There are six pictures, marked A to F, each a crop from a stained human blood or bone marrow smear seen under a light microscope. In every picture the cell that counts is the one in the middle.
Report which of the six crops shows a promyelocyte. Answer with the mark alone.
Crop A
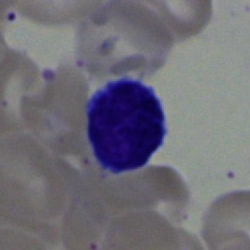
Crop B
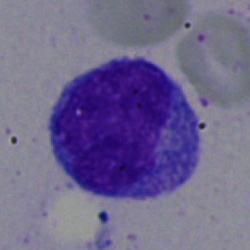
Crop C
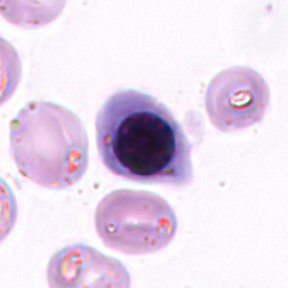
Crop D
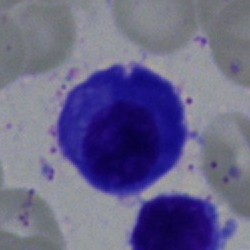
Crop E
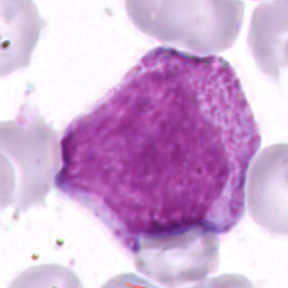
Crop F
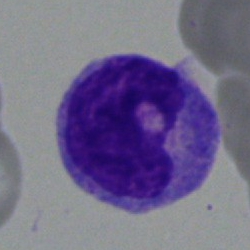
B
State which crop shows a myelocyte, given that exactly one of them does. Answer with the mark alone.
E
